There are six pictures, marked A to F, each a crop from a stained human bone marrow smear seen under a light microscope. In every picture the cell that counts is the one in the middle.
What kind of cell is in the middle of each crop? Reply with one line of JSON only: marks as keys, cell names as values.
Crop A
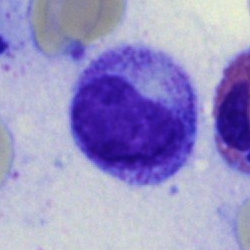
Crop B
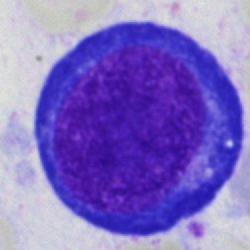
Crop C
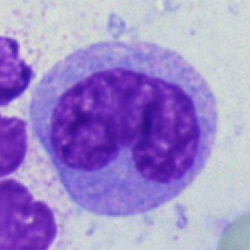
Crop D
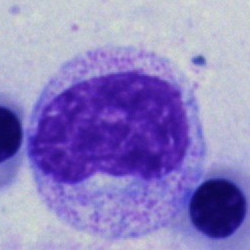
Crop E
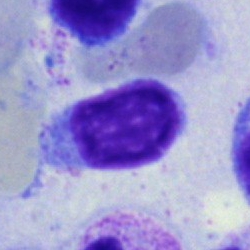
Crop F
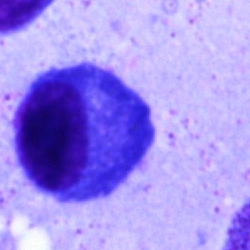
{"A": "metamyelocyte", "B": "proerythroblast", "C": "monocyte", "D": "myelocyte", "E": "lymphocyte", "F": "plasma cell"}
